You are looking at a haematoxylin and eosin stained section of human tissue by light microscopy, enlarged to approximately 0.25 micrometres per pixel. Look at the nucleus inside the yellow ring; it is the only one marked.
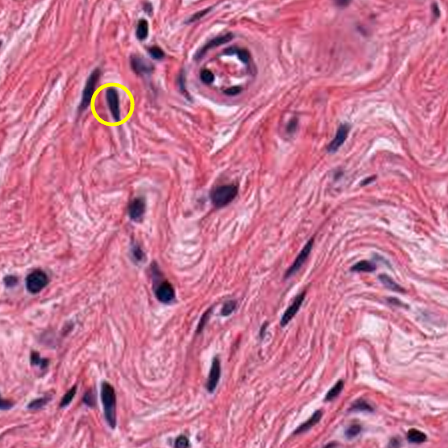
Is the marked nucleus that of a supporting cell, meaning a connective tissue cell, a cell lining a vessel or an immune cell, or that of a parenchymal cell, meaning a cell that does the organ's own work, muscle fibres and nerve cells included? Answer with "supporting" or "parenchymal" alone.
supporting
